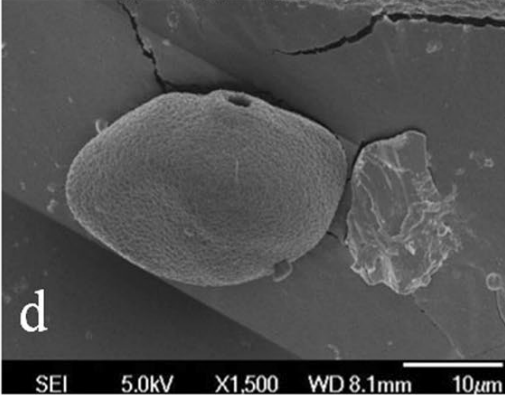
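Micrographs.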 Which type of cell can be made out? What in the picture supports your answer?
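Its whole surface is finely textured. That points to this answer: pollen grain.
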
